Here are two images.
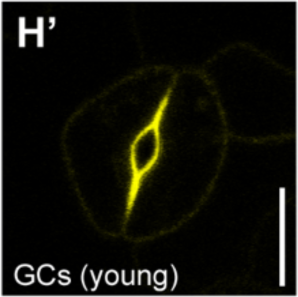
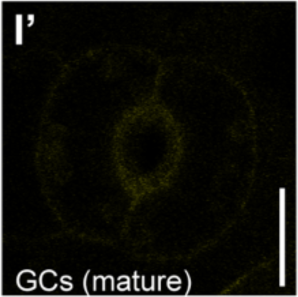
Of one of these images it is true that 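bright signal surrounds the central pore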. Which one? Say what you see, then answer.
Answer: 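The first image. Second image: the large paired cells around a wide opening show only faint, diffuse yellow. First image: a bright yellow ring outlines a small central opening and a line runs along the shared wall.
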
